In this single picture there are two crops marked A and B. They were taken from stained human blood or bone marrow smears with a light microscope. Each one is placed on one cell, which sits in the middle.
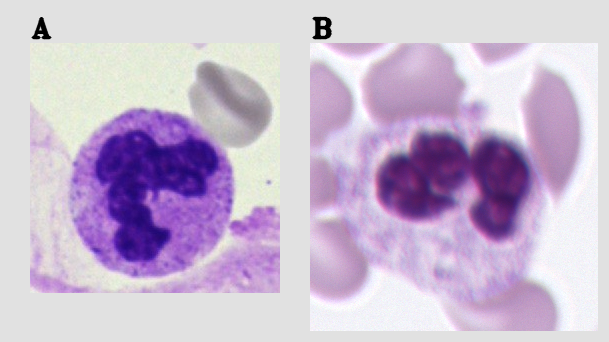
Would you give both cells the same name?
yes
